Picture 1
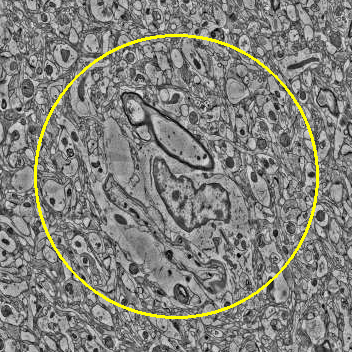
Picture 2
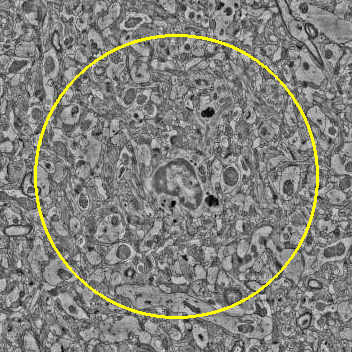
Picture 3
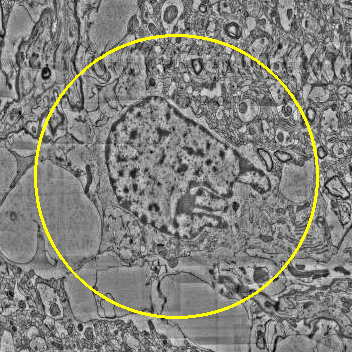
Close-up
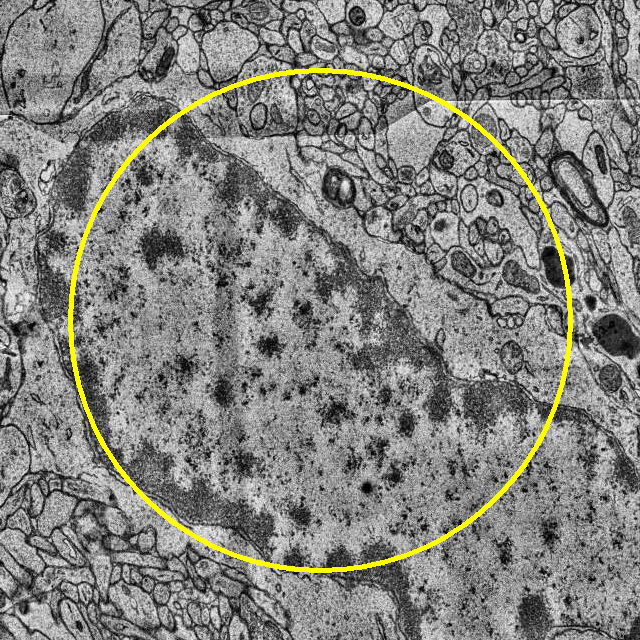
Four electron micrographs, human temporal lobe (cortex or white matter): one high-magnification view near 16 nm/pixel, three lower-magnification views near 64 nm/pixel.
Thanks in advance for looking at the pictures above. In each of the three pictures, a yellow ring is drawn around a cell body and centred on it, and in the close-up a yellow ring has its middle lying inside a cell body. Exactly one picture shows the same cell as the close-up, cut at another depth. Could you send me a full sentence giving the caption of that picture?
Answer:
In the close-up, the cell is the one circled within Picture 3.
